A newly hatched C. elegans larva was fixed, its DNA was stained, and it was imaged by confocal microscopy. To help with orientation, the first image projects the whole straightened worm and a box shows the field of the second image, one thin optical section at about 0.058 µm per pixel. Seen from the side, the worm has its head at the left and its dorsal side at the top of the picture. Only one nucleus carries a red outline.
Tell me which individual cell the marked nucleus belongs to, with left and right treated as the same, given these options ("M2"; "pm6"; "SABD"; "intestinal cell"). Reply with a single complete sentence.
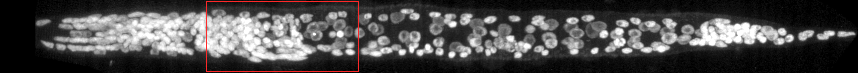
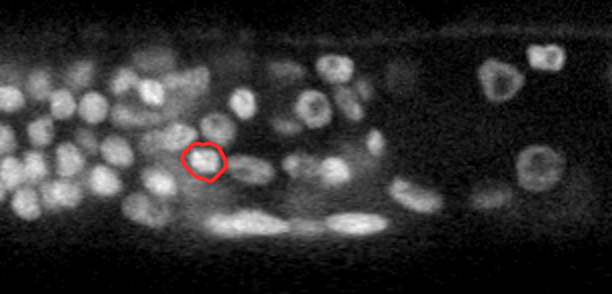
The cell whose nucleus is marked is M2, a neuron.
